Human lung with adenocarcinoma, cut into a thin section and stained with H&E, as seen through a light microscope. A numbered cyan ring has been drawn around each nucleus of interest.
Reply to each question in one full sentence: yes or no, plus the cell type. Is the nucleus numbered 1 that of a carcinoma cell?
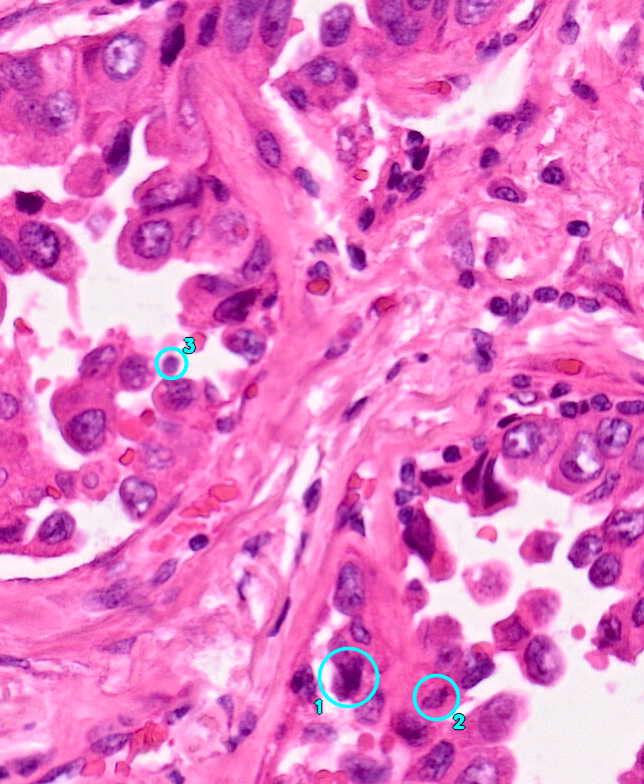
Yes, for number 1, the cell is a carcinoma cell.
